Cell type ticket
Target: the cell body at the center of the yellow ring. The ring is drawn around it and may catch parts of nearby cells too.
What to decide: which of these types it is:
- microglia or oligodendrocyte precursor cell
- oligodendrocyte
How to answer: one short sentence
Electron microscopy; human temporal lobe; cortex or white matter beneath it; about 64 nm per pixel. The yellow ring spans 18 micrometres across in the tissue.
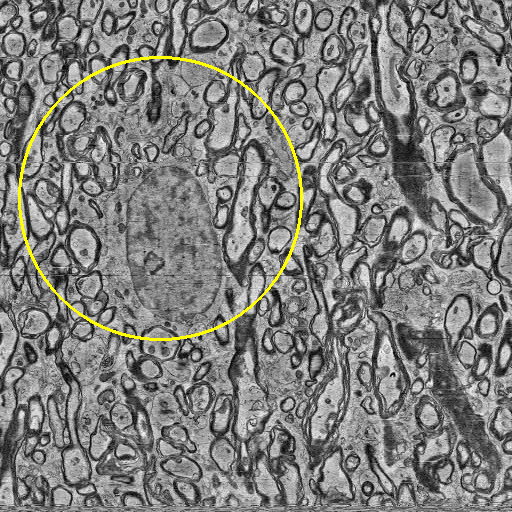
The cell at the center of the ring is an oligodendrocyte.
